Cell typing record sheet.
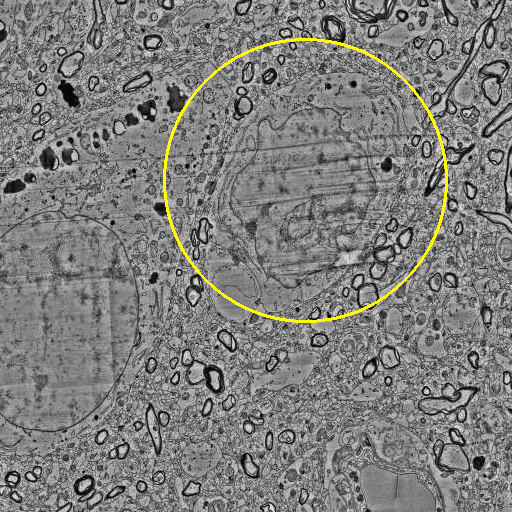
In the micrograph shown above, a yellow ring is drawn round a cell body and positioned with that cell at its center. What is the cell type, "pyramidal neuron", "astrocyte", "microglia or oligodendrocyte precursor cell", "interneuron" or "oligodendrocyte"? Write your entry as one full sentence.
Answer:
The cell body at the center of the ring belongs to an interneuron.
